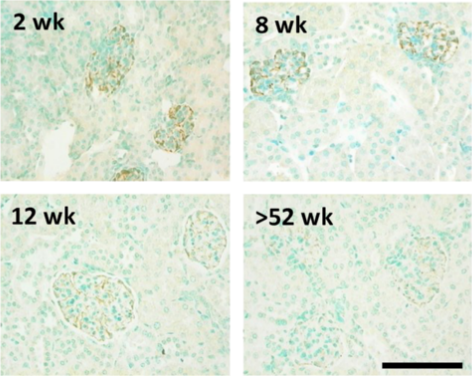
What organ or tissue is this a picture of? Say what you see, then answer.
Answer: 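Round tufted glomeruli are scattered among tubules. Tubules with cuboidal epithelium fill the space between the round structures. So: kidneys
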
